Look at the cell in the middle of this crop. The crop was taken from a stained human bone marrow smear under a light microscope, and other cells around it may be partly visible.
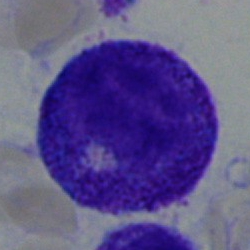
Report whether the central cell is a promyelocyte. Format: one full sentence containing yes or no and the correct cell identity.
Yes, the cell in the middle of this smear crop is a promyelocyte.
